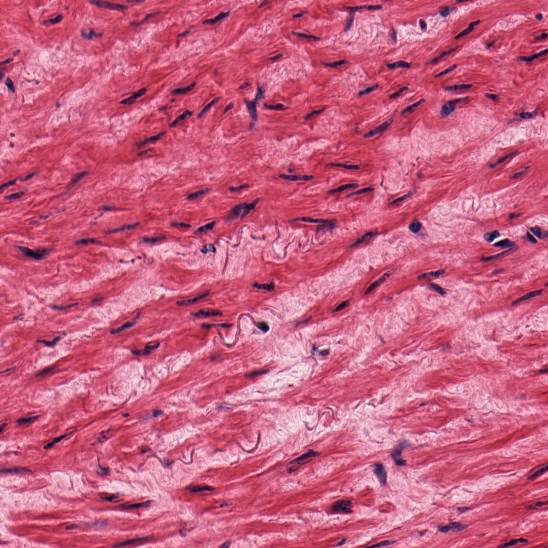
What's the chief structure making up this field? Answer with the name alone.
tunica media of an artery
